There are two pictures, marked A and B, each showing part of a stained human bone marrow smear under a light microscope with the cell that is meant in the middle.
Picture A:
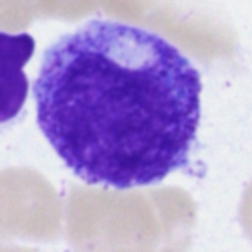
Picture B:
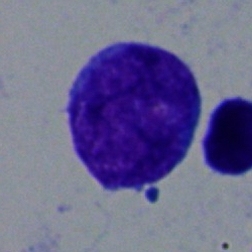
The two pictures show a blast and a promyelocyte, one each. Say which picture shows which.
A: promyelocyte
B: blast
